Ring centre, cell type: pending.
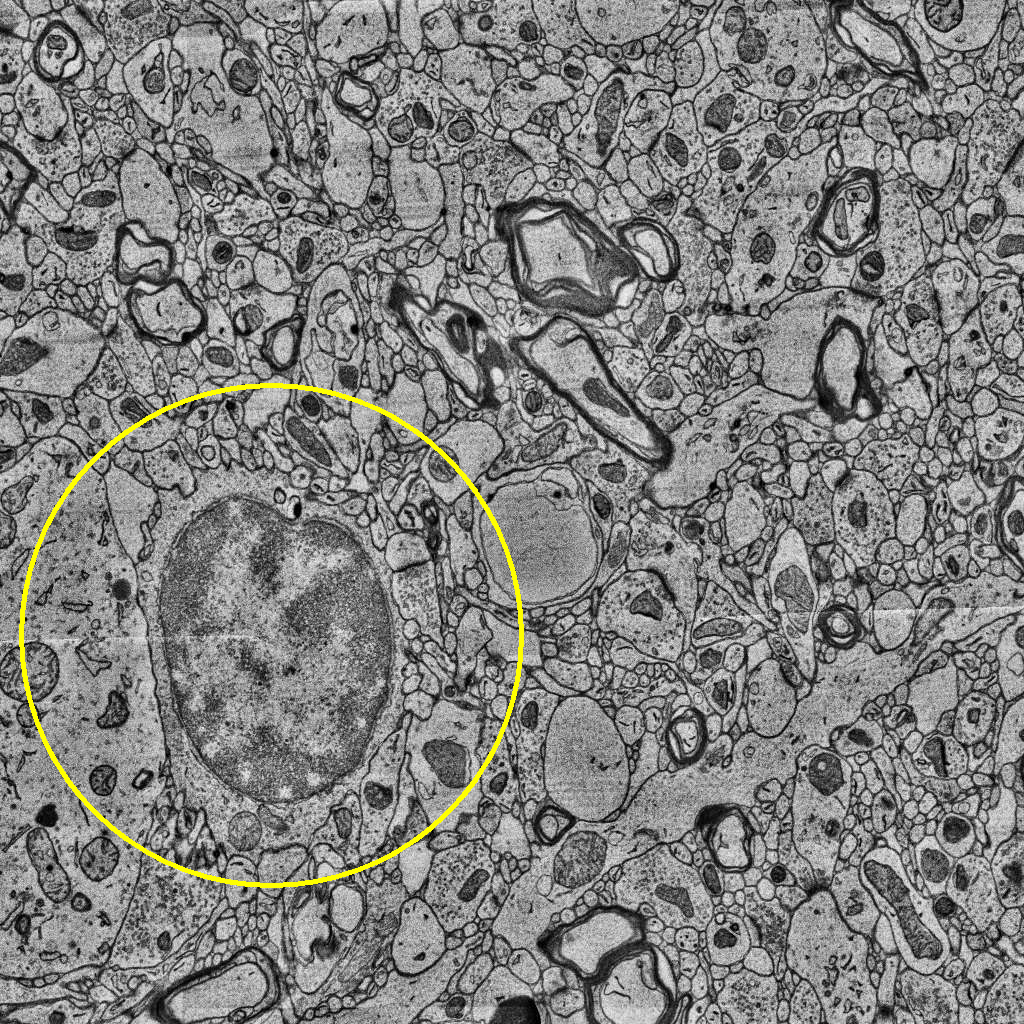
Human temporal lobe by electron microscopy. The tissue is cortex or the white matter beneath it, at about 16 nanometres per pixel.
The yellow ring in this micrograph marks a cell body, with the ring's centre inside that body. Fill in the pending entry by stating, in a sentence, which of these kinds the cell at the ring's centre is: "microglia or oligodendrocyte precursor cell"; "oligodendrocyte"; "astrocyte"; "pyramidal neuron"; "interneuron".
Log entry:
The cell at the ring's centre is recorded as an oligodendrocyte.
